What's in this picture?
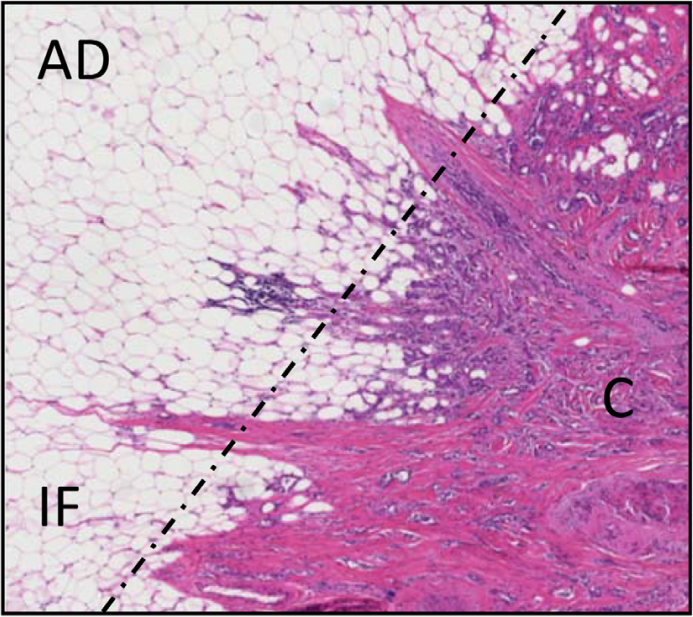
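On one side, large fat cells appear as empty, polygonal spaces with thin pink walls. Approaching the line, the fat cells become smaller and are infiltrated by clusters of purple-staining cells. On the other side, dense pink fibrous stroma holds many small nests and strands of purple tumor cells. Bands of pink collagen extend from the tumor into the fat.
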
